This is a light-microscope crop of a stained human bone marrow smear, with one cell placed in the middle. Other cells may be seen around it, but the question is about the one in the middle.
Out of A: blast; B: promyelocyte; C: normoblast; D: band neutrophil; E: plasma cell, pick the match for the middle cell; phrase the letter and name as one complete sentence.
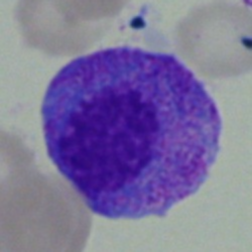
Option B correctly names the cell in the middle as a promyelocyte.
